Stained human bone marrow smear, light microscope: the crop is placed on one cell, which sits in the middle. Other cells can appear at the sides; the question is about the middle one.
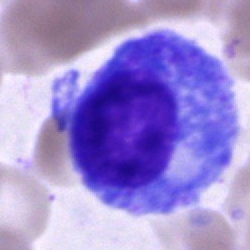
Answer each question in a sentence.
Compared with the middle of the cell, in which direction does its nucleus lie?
The nucleus sits off-centre, toward the left.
